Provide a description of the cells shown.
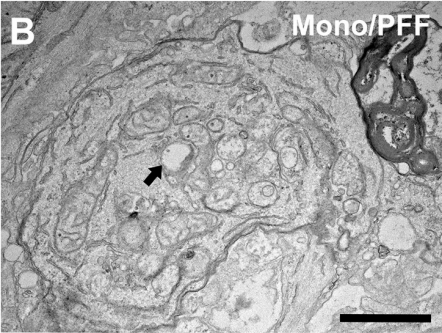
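This electron micrograph shows a large rounded profile in nervous tissue packed with numerous membrane-bound vacuoles of varying sizes. Many of the vacuoles are round and pale, bounded by thin membranes, while some contain darker, granular or dense material. Smaller membranous profiles and fragments lie between the vacuoles, giving the interior a crowded, disorganised look. The profile is surrounded by a thin membranous boundary, and outside it at the upper right lies a dark, thick-walled lamellar structure.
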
